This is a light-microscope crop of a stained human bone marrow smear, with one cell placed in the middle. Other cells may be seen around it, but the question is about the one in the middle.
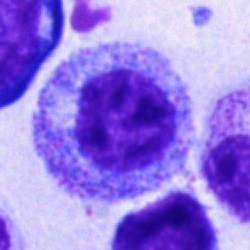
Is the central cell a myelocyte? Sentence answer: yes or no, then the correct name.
Yes, the cell here in the middle is a myelocyte.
